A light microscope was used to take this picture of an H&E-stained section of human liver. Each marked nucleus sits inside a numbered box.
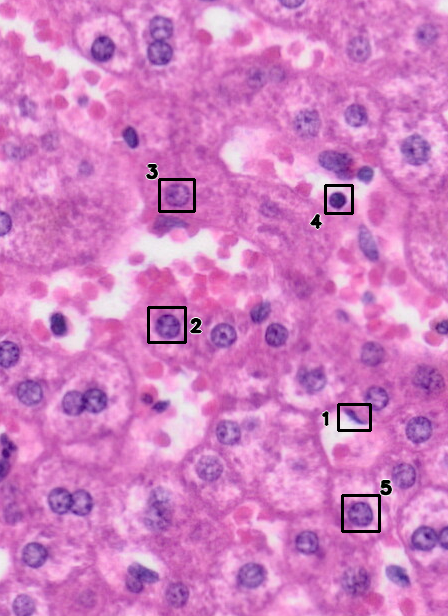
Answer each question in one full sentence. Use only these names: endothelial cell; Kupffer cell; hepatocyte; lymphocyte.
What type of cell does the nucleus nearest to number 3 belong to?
The nucleus nearest to number 3 is that of an endothelial cell.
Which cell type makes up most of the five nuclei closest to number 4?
The majority of the five nuclei closest to number 4 belong to Kupffer cells.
